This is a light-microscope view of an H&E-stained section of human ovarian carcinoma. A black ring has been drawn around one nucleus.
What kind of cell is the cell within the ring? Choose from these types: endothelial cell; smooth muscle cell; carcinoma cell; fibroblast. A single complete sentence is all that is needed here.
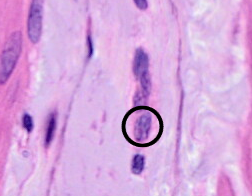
In this tissue sample, the cell within the ring is an endothelial cell.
